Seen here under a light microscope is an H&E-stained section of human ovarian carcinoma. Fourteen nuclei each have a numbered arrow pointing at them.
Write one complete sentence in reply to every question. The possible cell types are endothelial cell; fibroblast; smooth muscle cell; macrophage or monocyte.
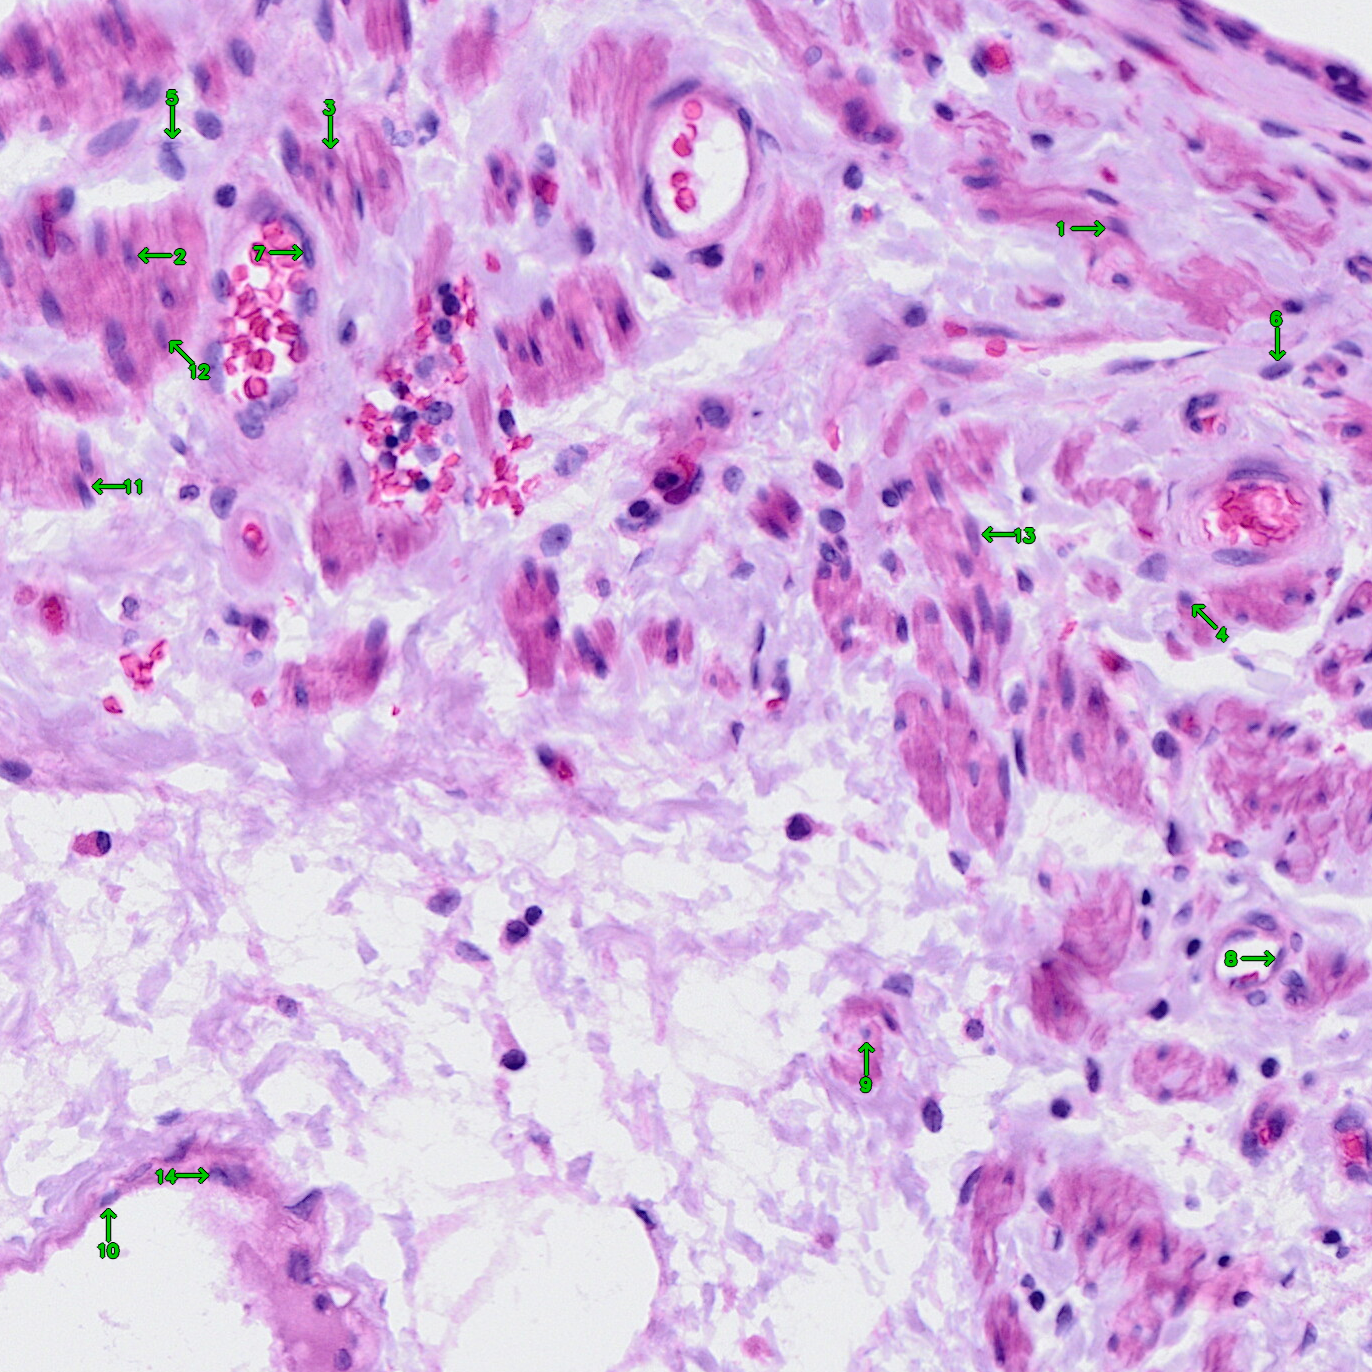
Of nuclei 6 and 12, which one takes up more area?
Number 6 is larger; its area is about 1.5 times that of number 12.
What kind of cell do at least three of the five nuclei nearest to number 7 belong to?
Endothelial cells make up most of the five nuclei closest to number 7.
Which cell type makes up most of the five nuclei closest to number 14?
Of the five nuclei nearest to number 14, most belong to fibroblasts.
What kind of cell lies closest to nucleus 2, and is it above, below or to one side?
The nearest one is a smooth muscle cell, found above and to the left of nucleus 2.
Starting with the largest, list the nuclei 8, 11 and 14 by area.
By area, largest first, they run 14, 11, 8.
